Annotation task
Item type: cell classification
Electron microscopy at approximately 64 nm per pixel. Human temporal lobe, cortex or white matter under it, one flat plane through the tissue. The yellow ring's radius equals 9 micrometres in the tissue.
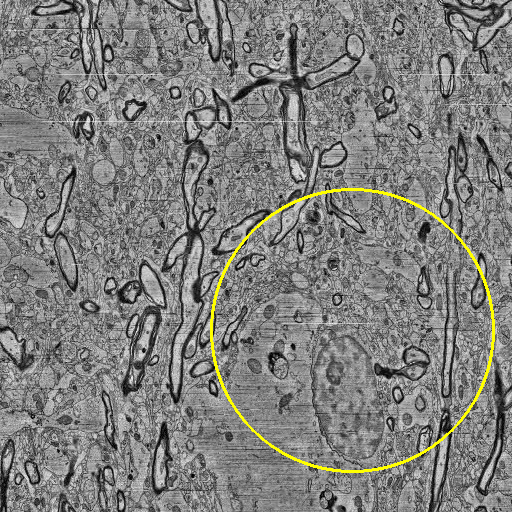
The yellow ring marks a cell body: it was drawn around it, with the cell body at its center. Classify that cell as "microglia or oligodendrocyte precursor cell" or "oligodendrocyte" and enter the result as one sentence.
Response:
The ring's center falls on an oligodendrocyte.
